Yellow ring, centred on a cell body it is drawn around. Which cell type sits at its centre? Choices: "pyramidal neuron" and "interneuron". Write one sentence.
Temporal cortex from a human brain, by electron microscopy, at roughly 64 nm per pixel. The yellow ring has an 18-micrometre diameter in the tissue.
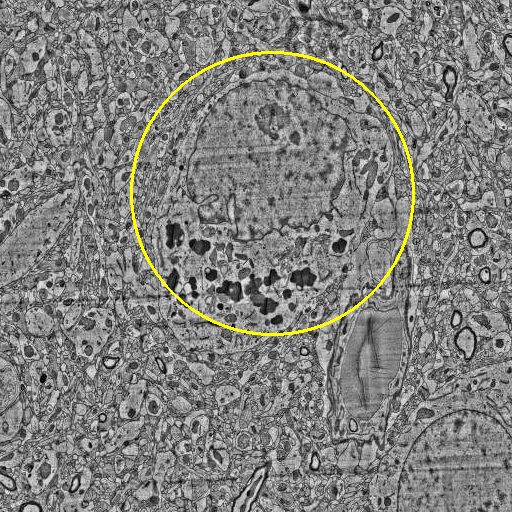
At the centre of the ring sits an interneuron.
